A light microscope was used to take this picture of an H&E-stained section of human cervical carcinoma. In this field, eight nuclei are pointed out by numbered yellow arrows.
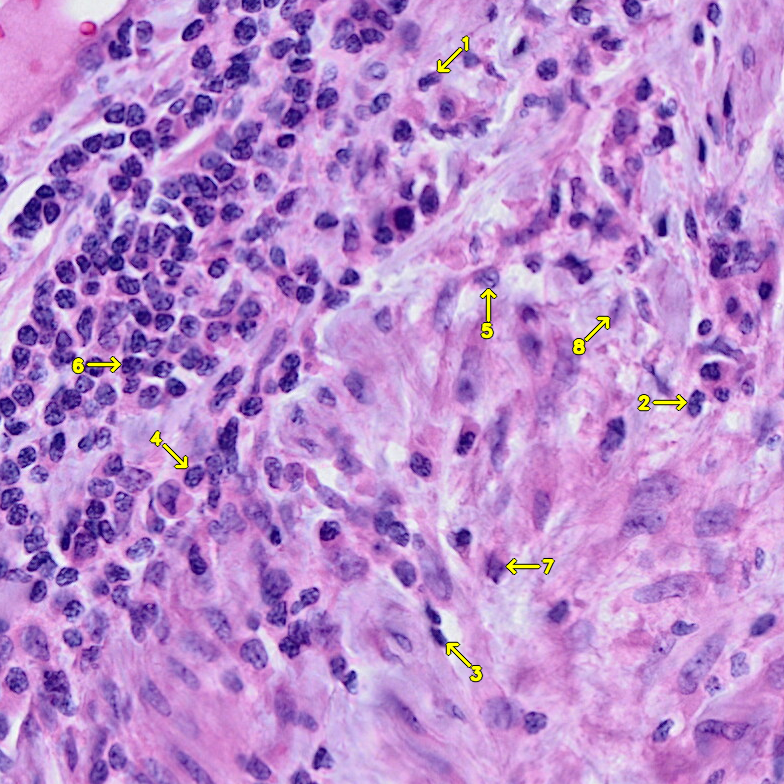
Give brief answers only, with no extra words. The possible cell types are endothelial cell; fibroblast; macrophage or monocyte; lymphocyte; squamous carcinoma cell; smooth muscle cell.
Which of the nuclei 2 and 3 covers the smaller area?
3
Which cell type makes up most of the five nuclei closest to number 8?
macrophage or monocyte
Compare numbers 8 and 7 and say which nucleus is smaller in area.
8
